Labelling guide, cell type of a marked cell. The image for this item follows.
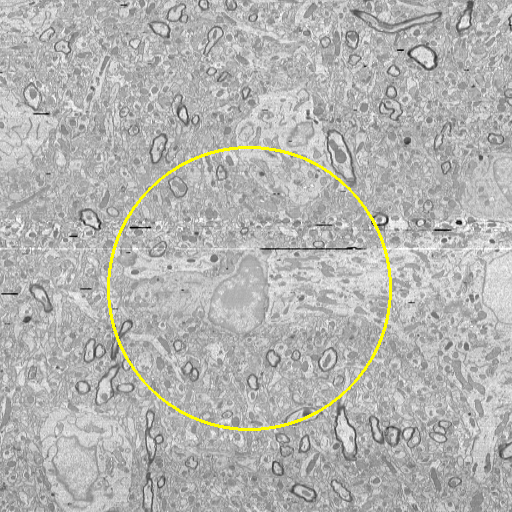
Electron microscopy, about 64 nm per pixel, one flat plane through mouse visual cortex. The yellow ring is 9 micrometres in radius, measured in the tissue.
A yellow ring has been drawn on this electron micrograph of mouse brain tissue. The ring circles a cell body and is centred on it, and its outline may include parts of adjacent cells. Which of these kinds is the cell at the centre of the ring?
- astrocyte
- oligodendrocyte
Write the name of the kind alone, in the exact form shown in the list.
oligodendrocyte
